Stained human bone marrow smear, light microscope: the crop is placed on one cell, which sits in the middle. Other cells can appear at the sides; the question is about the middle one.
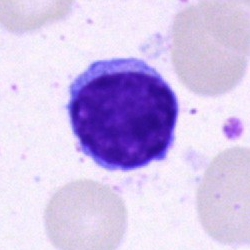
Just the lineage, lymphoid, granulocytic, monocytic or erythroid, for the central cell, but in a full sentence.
The cell at the crop's center is part of the lymphoid lineage.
